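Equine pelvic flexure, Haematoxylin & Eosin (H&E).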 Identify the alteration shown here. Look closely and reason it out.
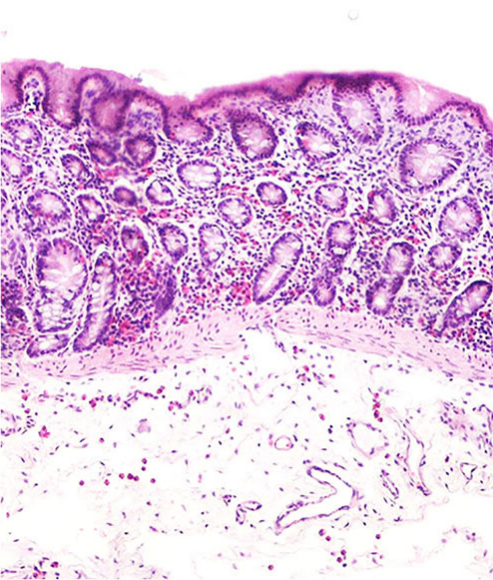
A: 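Submucosal oedema. Beneath the thin muscle band under the crypts, the submucosa is very pale and loosely textured. Widely spaced fibres and scattered cells lie in an almost empty-looking submucosal space.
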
